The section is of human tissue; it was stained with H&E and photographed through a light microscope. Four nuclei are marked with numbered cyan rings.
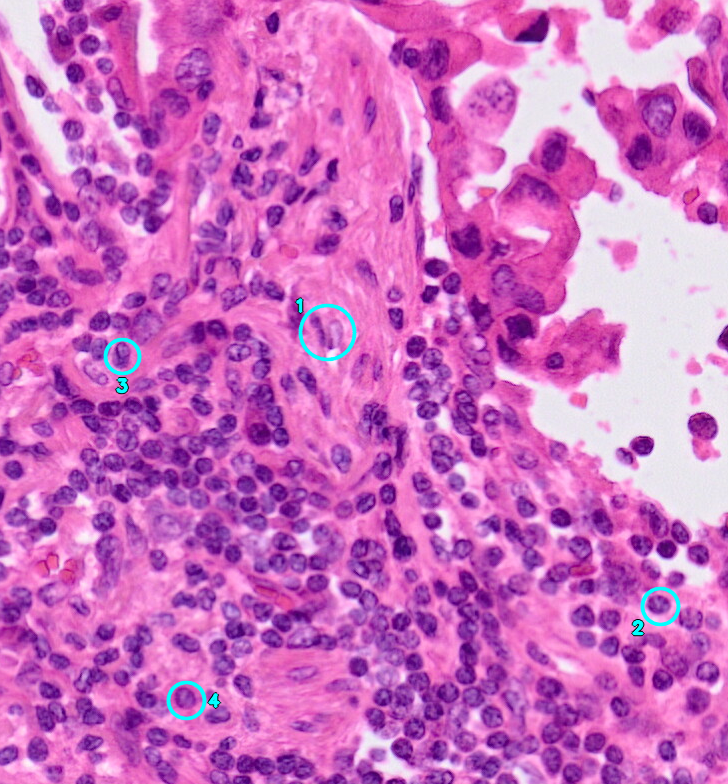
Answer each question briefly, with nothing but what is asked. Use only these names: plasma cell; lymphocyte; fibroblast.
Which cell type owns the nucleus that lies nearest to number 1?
plasma cell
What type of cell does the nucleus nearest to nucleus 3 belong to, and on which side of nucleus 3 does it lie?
a lymphocyte; to the left of nucleus 3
